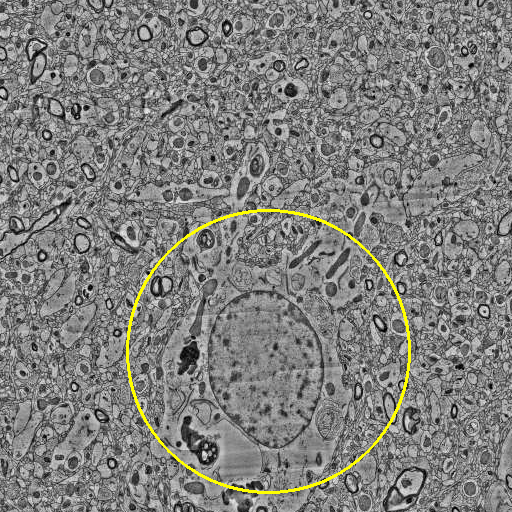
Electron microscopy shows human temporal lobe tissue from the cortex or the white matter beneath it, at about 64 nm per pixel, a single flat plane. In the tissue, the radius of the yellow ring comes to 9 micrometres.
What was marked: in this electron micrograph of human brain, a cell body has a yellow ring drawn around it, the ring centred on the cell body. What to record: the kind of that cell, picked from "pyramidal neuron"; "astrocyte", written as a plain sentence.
The centred cell is an astrocyte.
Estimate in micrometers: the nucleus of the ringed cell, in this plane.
Roughly 10 by 7 micrometres in this plane, for the nucleus of the ringed cell.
